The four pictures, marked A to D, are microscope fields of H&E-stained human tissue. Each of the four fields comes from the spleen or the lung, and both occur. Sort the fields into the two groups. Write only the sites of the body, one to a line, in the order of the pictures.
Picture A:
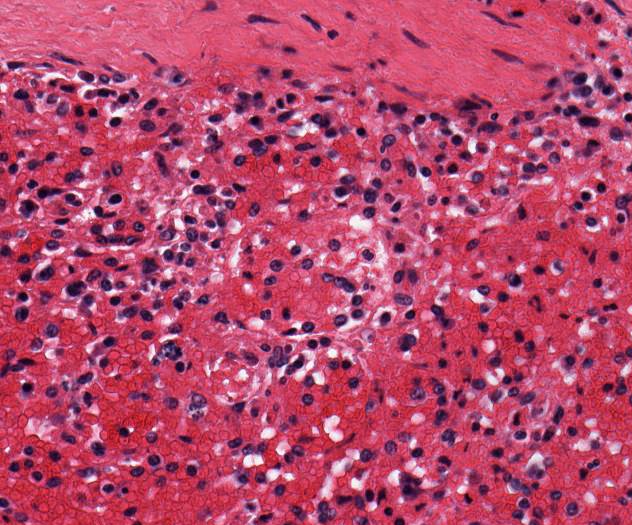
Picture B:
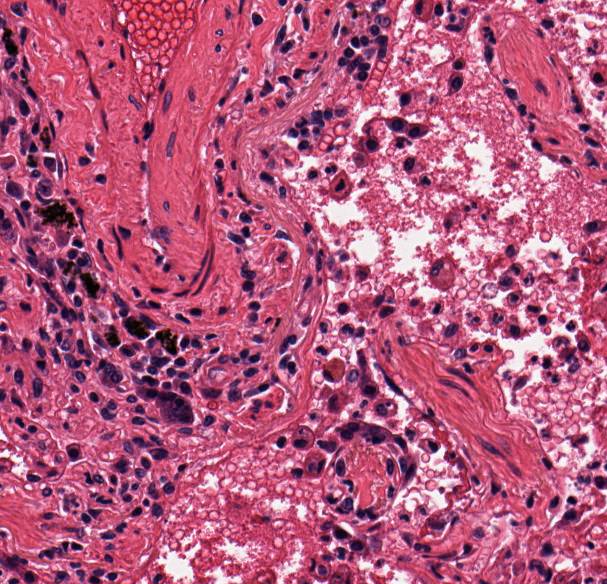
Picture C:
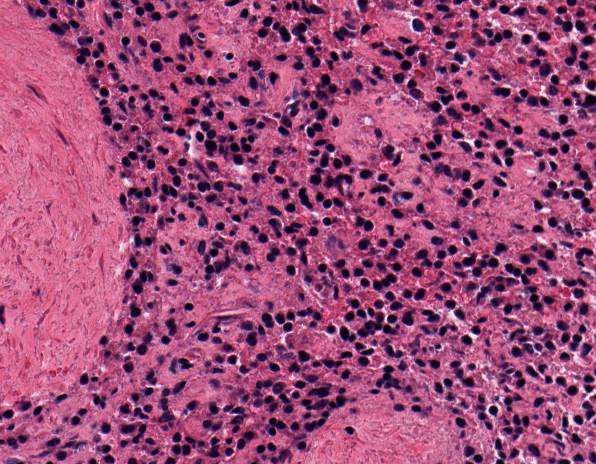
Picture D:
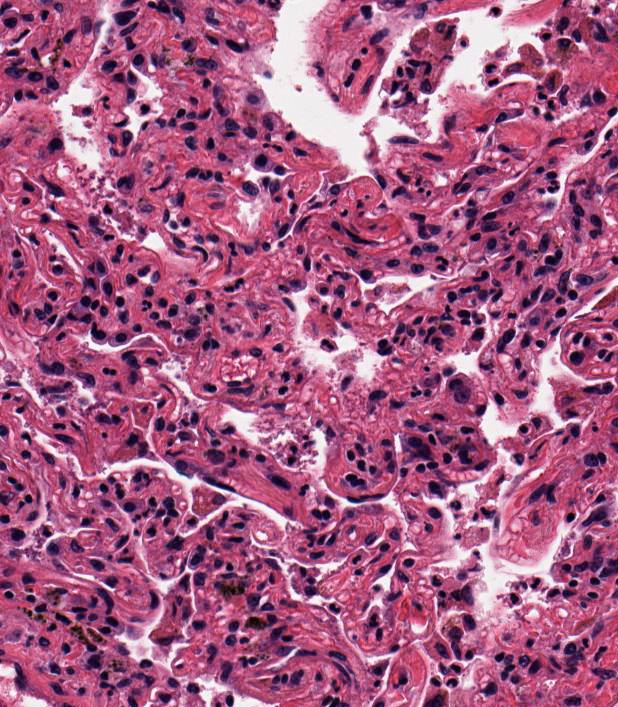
spleen
lung
spleen
lung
